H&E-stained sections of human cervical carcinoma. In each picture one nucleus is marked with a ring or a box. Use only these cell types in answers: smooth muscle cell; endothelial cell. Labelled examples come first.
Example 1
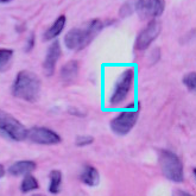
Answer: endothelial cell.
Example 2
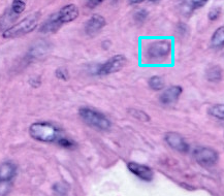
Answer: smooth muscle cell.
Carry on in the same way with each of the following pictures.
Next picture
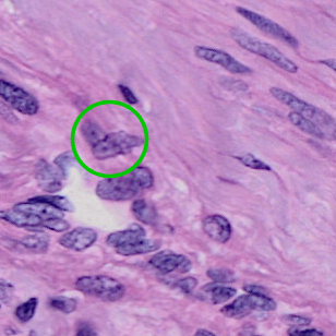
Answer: endothelial cell.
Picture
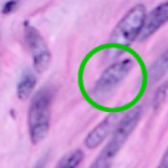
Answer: smooth muscle cell.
